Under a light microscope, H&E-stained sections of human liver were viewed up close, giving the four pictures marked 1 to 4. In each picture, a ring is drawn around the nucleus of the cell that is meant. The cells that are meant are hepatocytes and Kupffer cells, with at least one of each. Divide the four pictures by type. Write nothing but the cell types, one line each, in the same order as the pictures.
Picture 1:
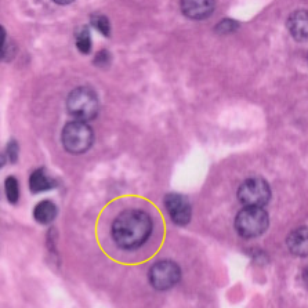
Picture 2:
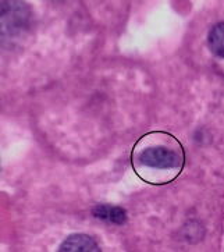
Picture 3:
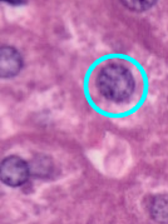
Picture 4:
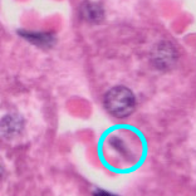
hepatocyte
Kupffer cell
hepatocyte
Kupffer cell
